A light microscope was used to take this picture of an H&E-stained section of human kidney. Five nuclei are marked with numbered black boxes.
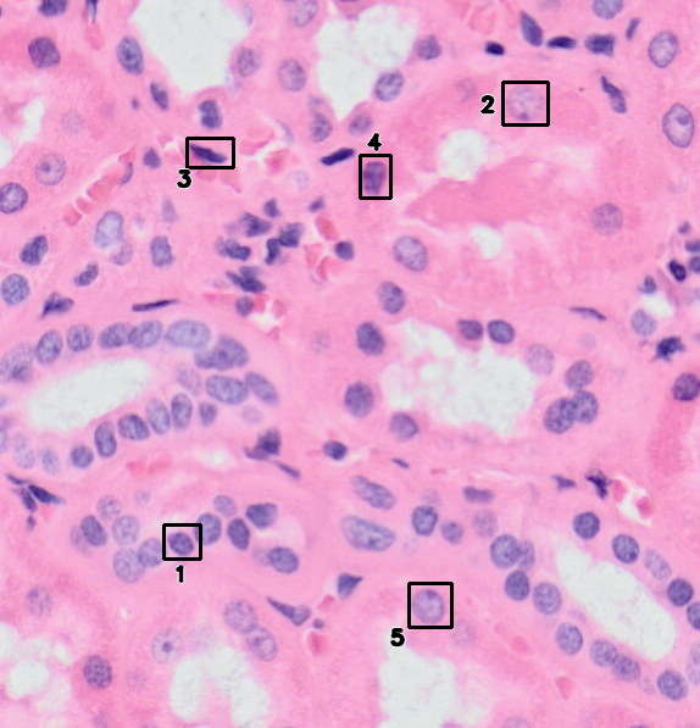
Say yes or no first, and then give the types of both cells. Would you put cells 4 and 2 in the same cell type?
Yes, both are proximal tubule cells.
